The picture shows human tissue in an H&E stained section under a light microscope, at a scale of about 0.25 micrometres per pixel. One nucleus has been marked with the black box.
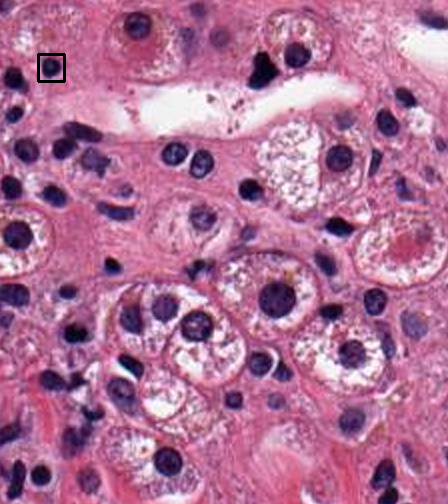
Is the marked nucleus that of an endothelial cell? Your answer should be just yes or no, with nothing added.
no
